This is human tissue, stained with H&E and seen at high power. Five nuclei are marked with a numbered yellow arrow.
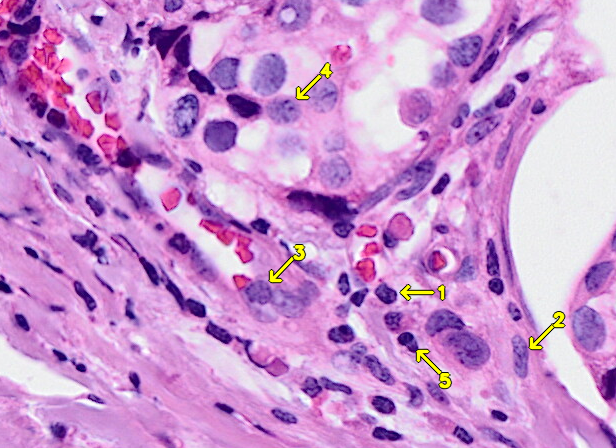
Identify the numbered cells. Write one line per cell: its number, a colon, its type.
1: lymphocyte
2: endothelial cell
3: endothelial cell
4: carcinoma cell
5: lymphocyte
